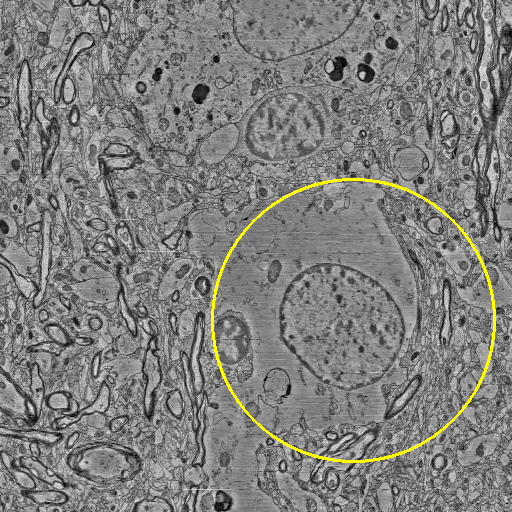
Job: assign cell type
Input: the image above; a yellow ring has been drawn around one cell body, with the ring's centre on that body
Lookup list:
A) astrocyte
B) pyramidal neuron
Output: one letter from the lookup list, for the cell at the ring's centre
A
